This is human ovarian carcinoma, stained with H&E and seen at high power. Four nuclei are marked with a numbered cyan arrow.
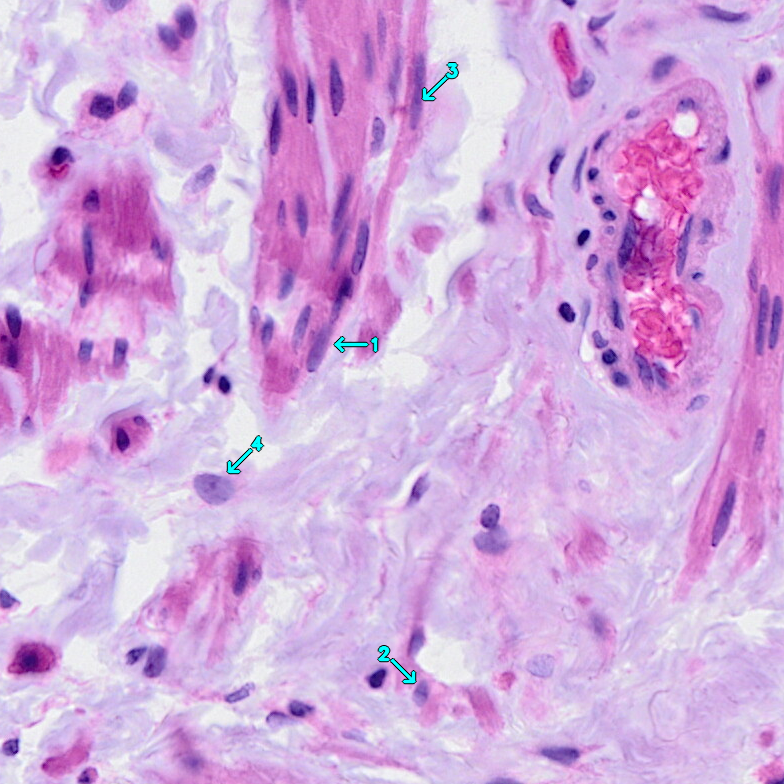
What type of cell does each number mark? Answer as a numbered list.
1. smooth muscle cell
2. smooth muscle cell
3. smooth muscle cell
4. fibroblast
